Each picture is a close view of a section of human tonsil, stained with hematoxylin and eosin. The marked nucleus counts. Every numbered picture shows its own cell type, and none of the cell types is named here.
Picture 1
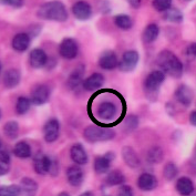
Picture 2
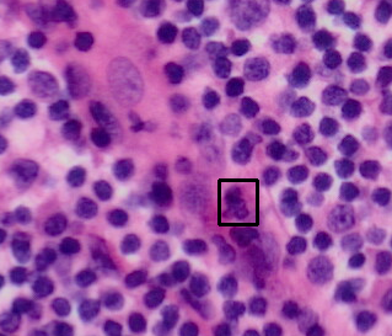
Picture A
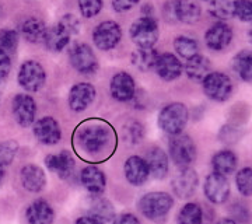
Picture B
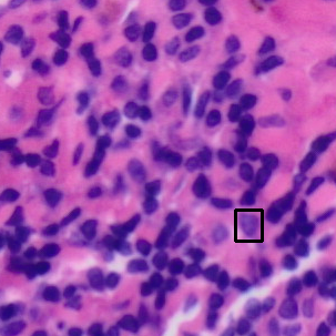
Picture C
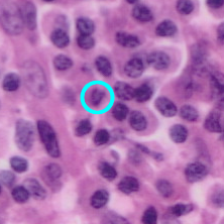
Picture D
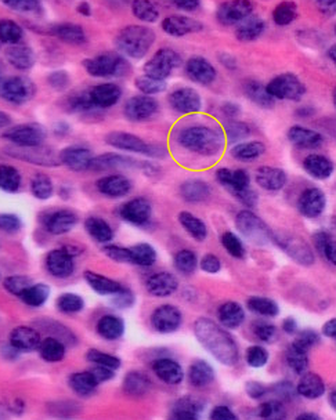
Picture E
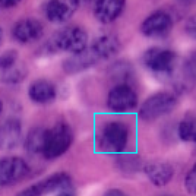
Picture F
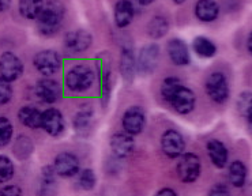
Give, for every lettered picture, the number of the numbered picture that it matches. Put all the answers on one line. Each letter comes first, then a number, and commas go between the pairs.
A 1, B 2, C 1, D 2, E 1, F 1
